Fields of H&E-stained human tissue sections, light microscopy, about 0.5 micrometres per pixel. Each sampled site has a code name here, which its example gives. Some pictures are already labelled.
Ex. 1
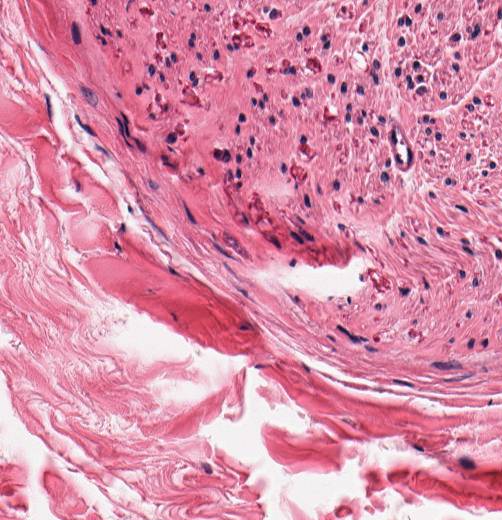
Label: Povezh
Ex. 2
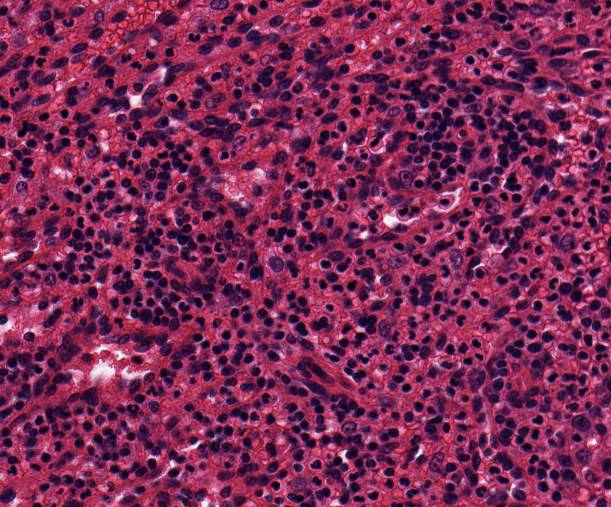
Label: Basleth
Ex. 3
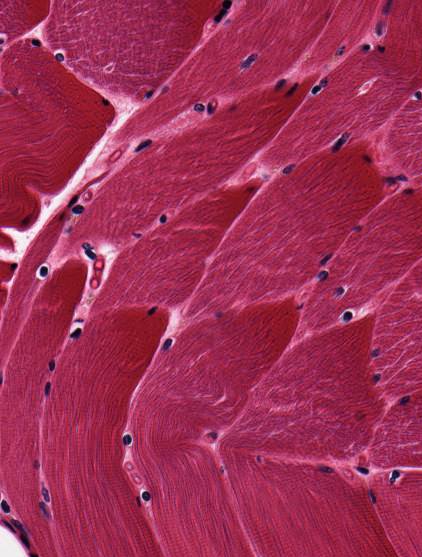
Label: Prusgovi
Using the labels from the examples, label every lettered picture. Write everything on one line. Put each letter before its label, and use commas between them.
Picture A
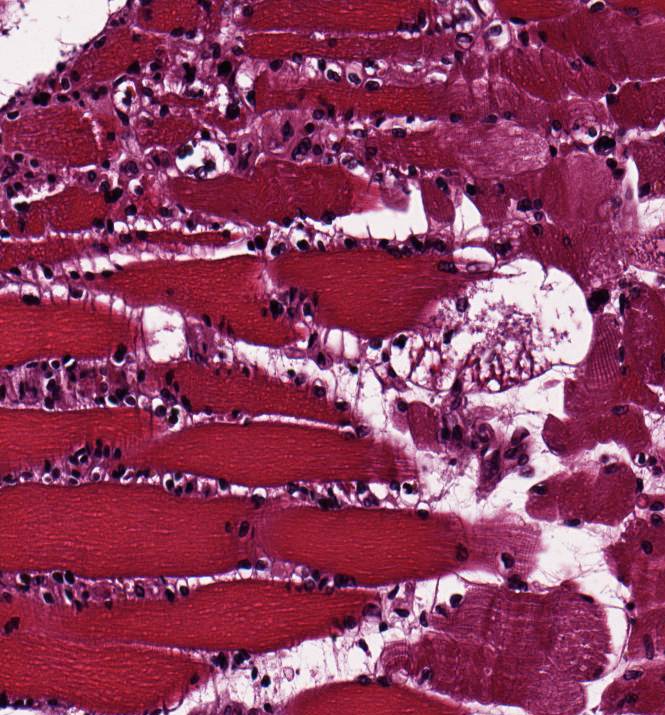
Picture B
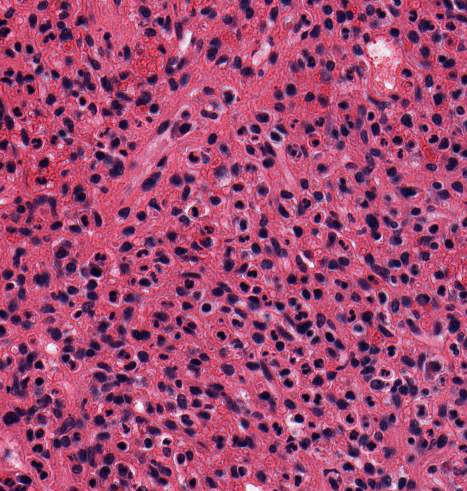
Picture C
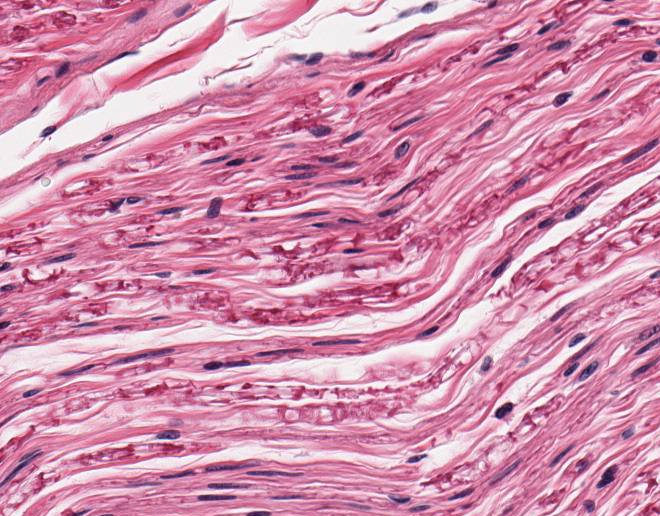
A Prusgovi, B Basleth, C Povezh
